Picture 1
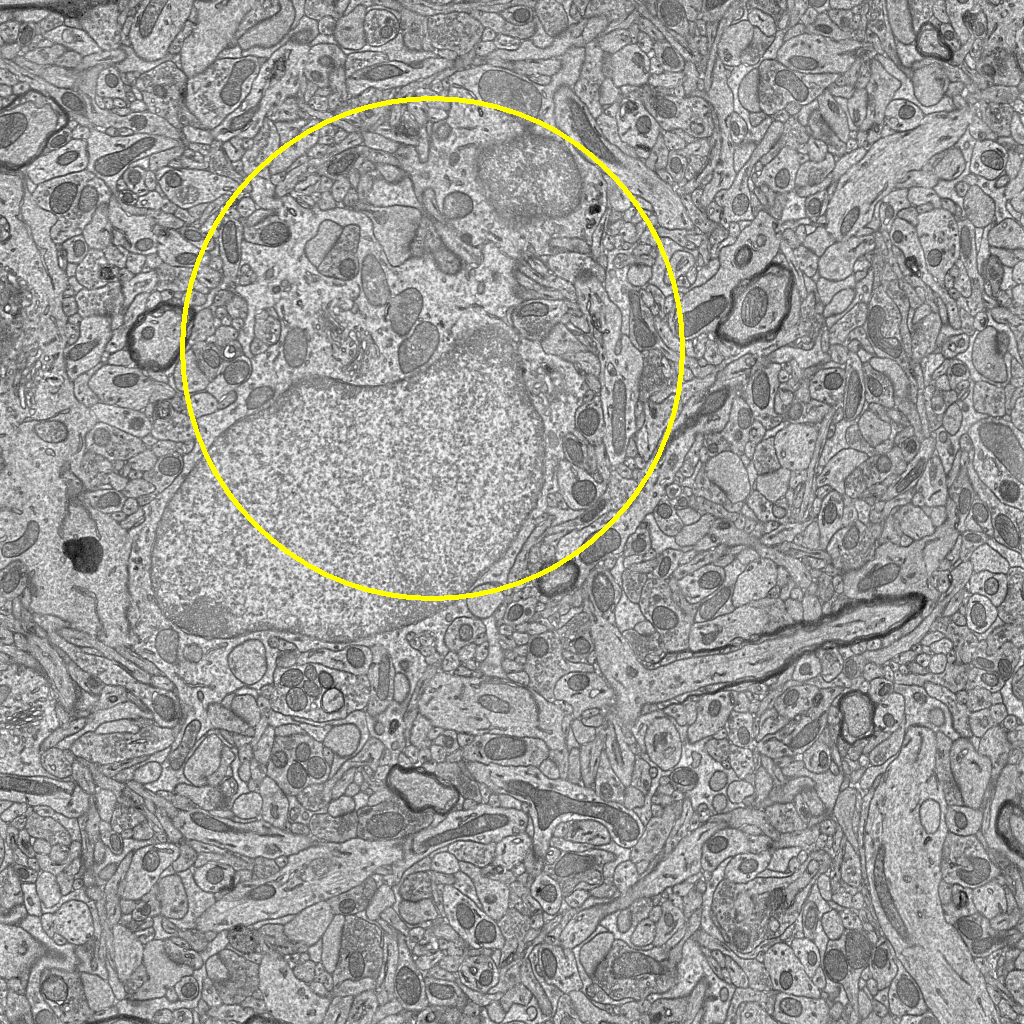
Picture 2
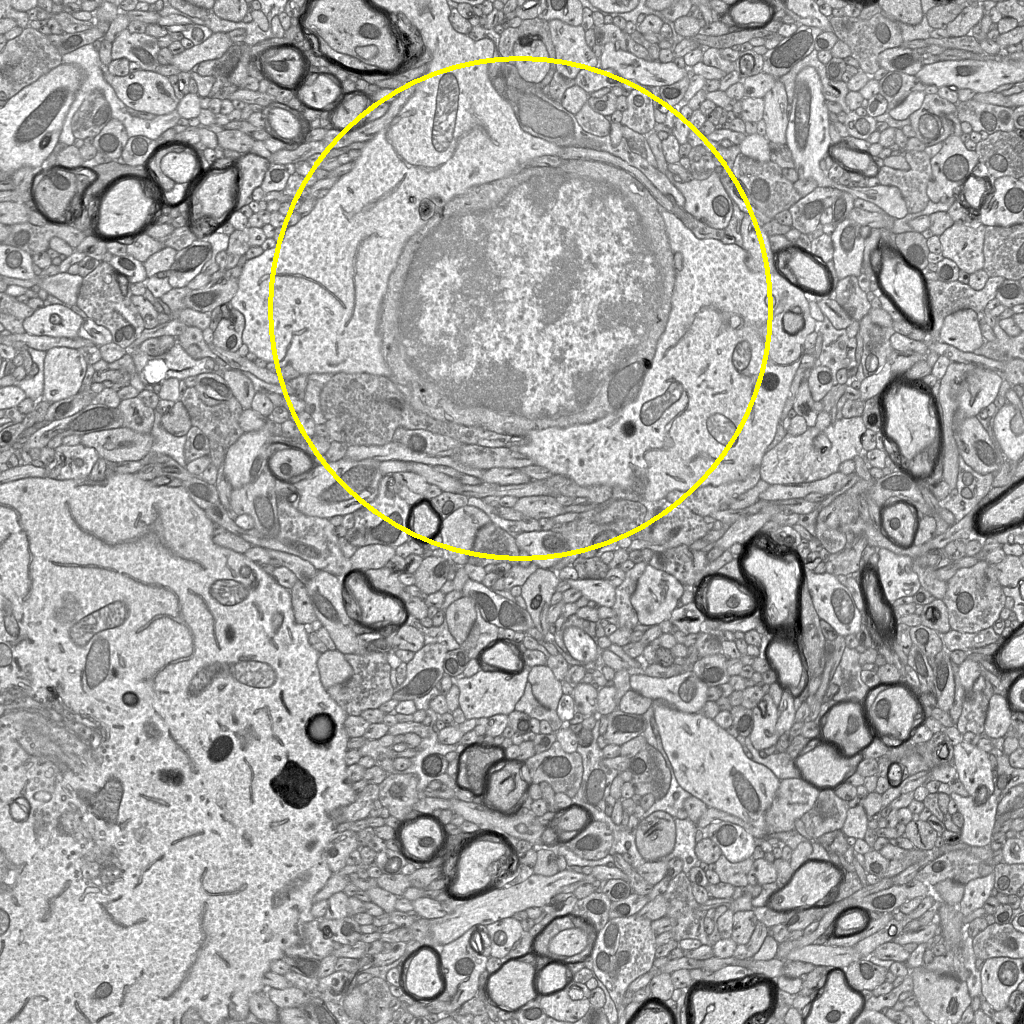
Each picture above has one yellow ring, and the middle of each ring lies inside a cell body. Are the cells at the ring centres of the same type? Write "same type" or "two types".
two types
